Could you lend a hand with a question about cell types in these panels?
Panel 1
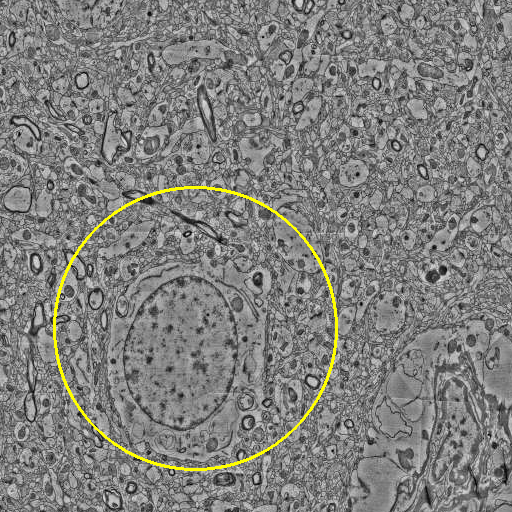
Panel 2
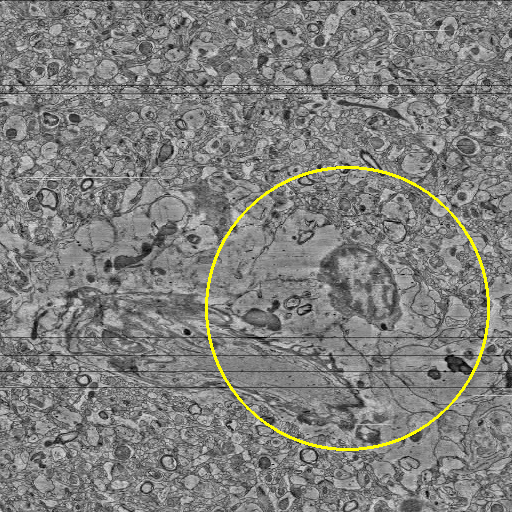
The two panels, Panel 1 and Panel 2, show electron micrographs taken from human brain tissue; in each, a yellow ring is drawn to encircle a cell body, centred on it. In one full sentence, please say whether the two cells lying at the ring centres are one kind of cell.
No, the cells at the ring centres in the two panels are two kinds of cell.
